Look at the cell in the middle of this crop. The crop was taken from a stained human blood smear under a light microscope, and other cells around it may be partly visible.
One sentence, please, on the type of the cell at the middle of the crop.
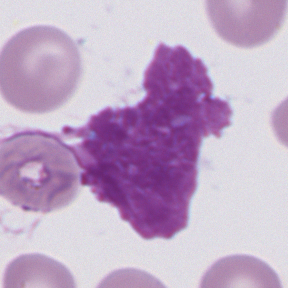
Classification of the middle cell gives a smudge cell.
